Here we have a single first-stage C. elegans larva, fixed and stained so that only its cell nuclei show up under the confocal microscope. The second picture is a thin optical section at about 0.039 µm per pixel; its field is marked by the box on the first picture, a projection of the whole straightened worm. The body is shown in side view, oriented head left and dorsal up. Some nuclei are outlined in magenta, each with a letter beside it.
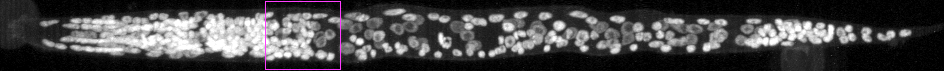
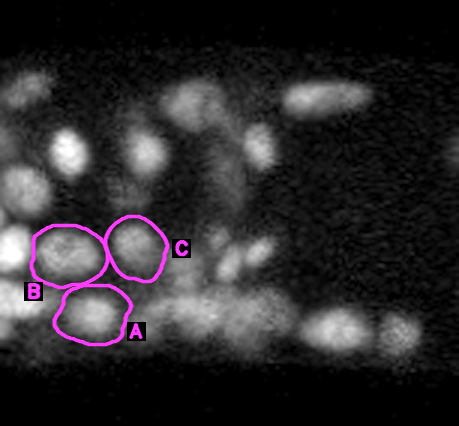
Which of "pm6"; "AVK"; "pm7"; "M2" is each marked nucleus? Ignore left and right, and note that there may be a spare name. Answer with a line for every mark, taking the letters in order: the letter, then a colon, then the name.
A: AVK
B: pm6
C: pm7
